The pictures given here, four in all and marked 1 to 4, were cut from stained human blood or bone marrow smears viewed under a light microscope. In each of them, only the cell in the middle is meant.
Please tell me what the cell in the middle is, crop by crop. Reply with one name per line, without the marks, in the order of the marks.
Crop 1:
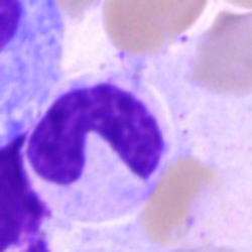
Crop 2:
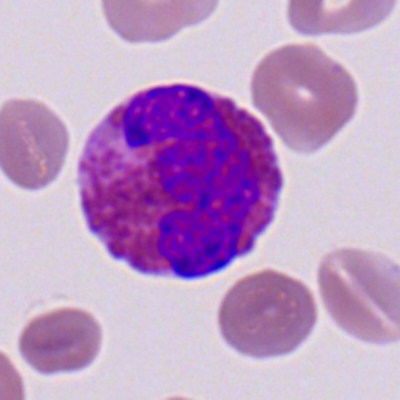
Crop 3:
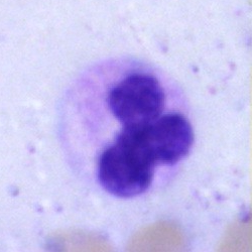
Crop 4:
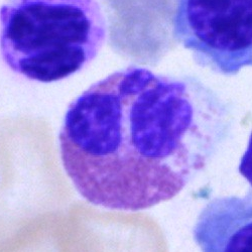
band neutrophil
eosinophil
segmented neutrophil
eosinophil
